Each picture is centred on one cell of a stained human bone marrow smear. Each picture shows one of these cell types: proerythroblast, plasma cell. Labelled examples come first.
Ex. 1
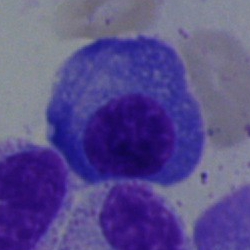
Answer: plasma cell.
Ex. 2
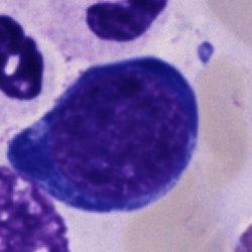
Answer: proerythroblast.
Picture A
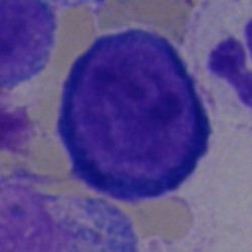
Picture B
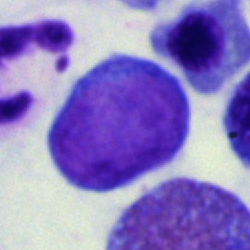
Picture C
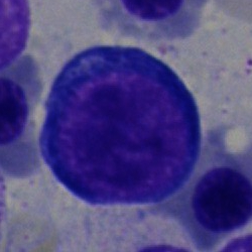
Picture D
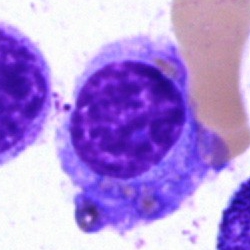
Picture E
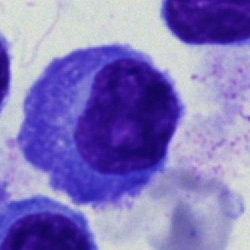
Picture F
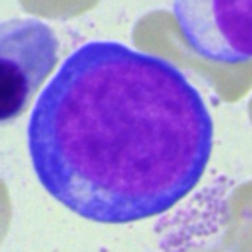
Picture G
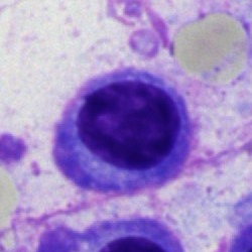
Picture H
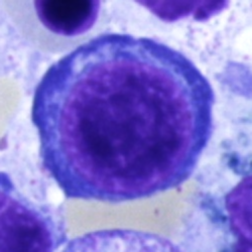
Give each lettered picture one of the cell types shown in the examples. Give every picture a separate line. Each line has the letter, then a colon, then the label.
A: proerythroblast.
B: proerythroblast.
C: proerythroblast.
D: plasma cell.
E: plasma cell.
F: proerythroblast.
G: plasma cell.
H: proerythroblast.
